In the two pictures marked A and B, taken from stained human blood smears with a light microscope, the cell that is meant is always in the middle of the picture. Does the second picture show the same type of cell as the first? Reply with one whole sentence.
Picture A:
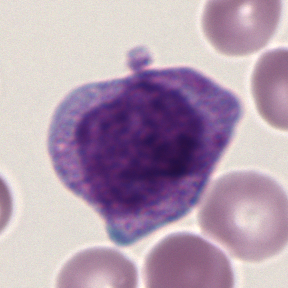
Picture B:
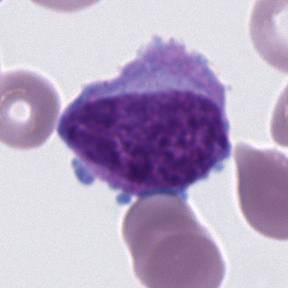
Yes, both cells are atypical promyelocytes.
